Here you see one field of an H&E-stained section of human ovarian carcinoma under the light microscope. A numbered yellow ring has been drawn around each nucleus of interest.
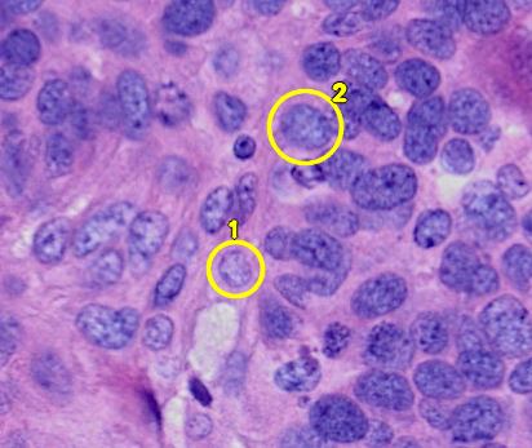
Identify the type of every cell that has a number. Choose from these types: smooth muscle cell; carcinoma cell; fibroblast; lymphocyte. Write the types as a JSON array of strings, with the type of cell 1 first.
["fibroblast", "carcinoma cell"]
